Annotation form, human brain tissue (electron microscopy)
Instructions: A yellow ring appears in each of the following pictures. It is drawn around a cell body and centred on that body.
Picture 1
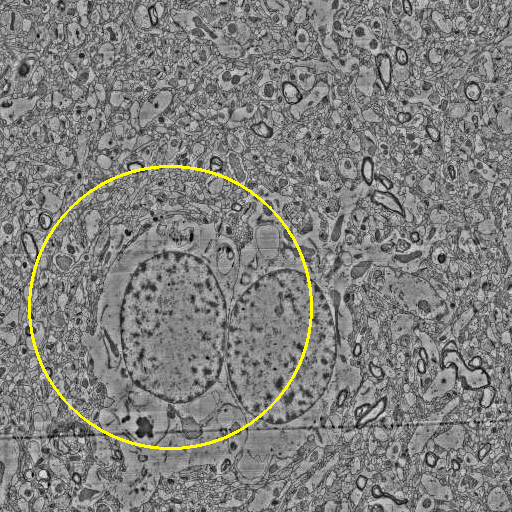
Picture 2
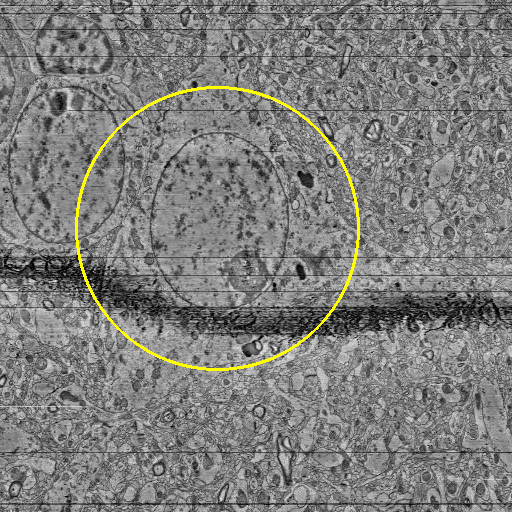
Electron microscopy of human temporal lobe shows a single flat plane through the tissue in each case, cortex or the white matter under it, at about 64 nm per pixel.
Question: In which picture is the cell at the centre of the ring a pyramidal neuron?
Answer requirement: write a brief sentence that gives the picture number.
The cell at the centre of the ring in Picture 2 is the one asked for.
